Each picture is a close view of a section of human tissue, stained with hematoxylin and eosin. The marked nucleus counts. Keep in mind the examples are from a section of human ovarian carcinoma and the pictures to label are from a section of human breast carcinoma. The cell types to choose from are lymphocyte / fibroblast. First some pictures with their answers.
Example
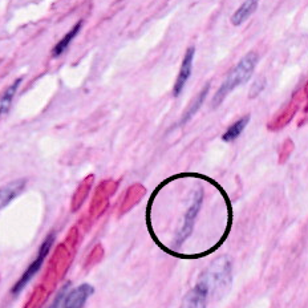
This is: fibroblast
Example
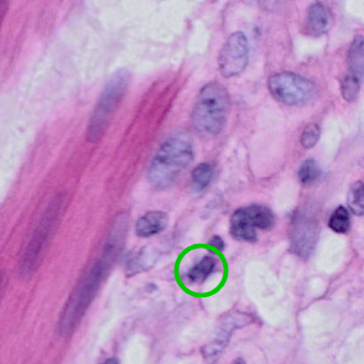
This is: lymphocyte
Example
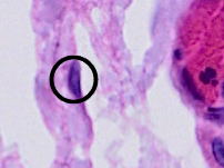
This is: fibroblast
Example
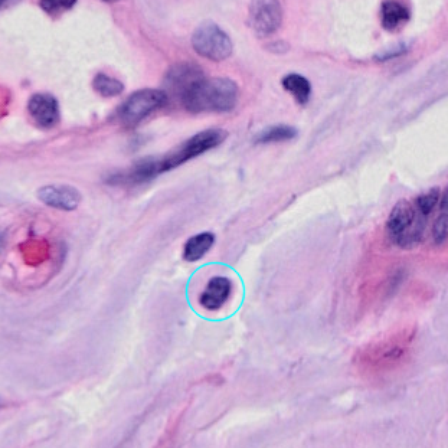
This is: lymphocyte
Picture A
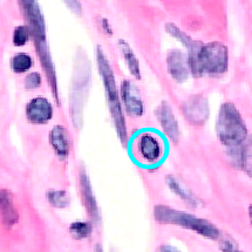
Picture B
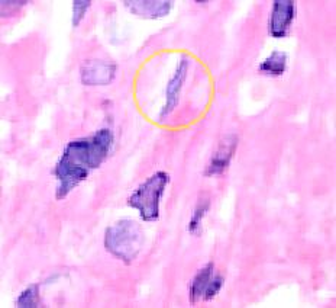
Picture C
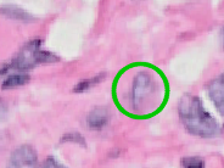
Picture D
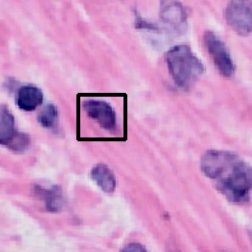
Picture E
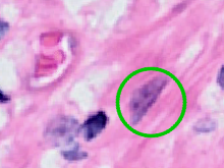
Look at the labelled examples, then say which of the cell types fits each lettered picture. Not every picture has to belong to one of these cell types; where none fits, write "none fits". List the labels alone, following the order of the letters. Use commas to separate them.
none fits, fibroblast, none fits, lymphocyte, fibroblast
